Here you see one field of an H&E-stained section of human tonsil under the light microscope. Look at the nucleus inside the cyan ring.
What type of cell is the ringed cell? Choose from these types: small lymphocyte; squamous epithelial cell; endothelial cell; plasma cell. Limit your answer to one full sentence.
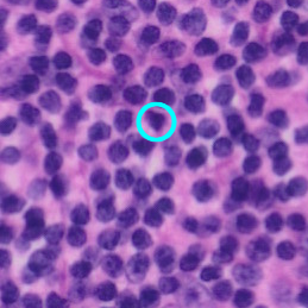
In the stained section, the ringed cell is a small lymphocyte.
